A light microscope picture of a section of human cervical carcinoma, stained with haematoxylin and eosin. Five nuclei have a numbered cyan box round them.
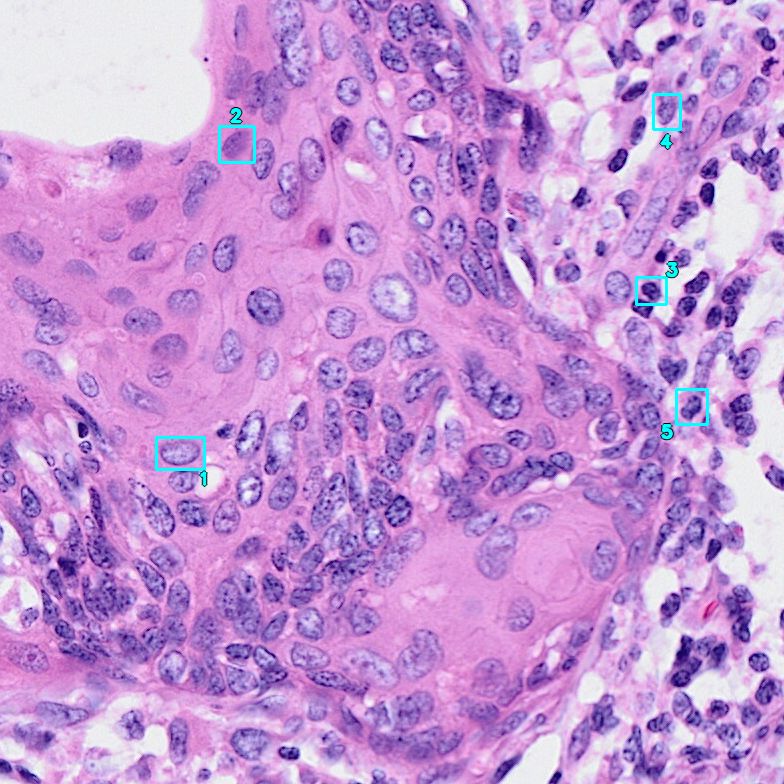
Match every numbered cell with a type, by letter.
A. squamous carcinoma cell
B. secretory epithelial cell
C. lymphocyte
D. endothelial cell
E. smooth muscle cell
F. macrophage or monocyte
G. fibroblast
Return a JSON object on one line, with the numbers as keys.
{"1": "A", "2": "A", "3": "C", "4": "F", "5": "C"}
